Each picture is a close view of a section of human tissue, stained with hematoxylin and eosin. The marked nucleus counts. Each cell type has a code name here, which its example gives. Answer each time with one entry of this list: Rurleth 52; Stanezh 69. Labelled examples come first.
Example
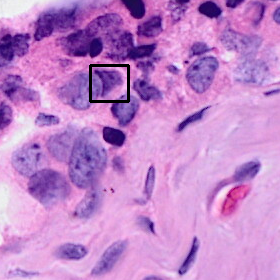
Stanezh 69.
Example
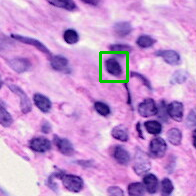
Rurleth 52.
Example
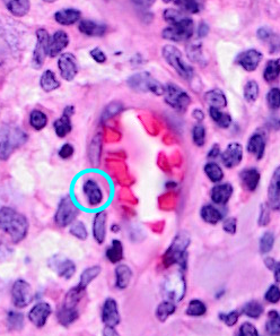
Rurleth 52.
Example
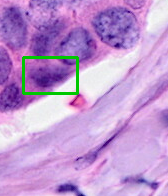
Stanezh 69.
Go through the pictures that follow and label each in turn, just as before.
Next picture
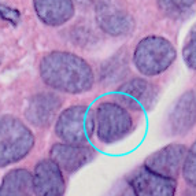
Stanezh 69.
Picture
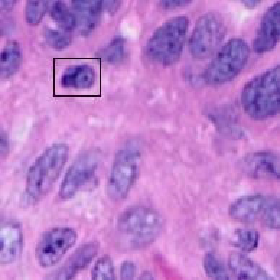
Rurleth 52.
